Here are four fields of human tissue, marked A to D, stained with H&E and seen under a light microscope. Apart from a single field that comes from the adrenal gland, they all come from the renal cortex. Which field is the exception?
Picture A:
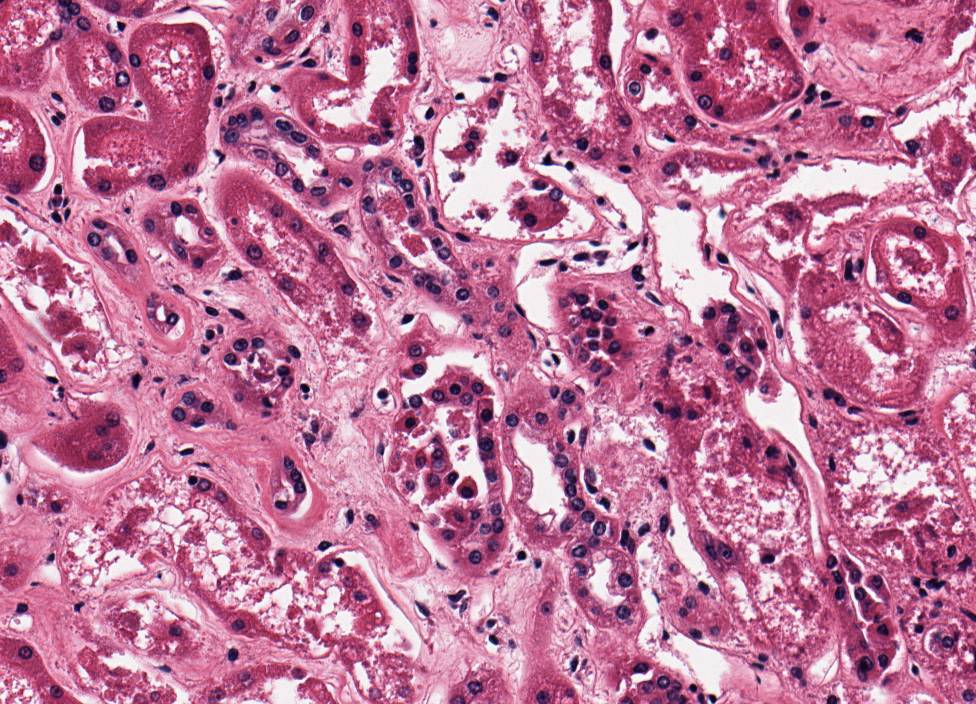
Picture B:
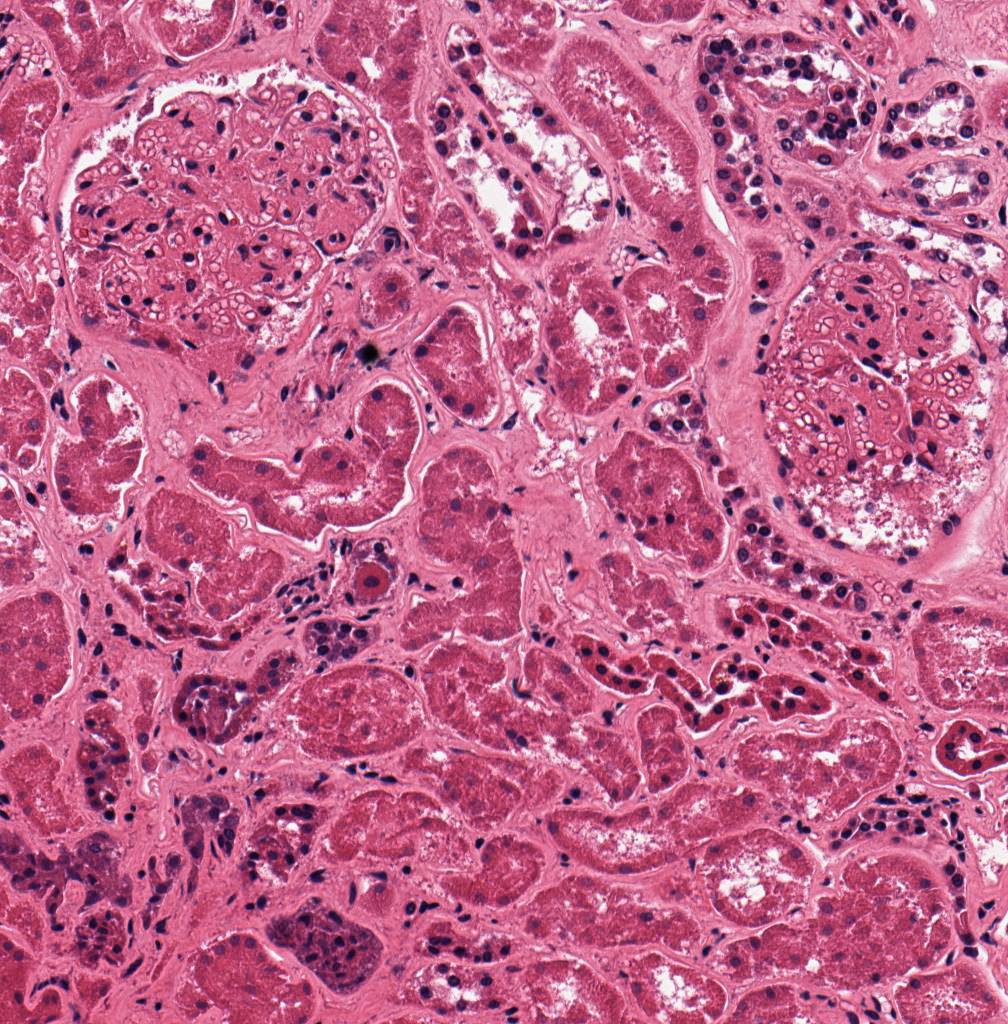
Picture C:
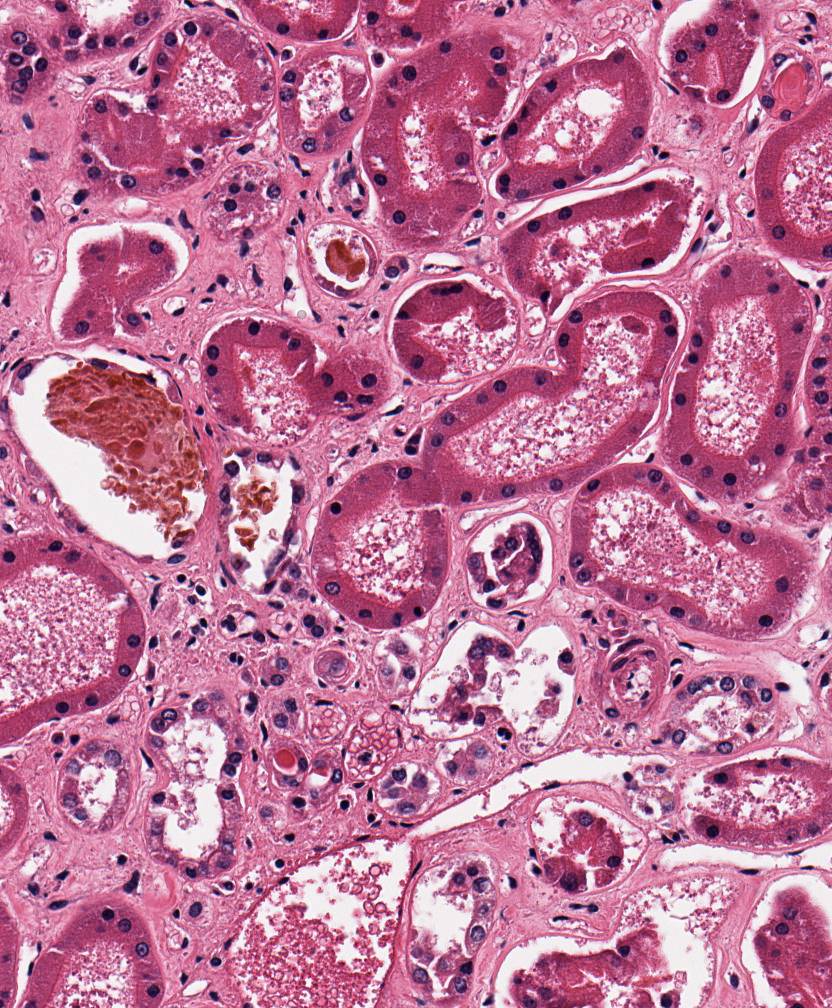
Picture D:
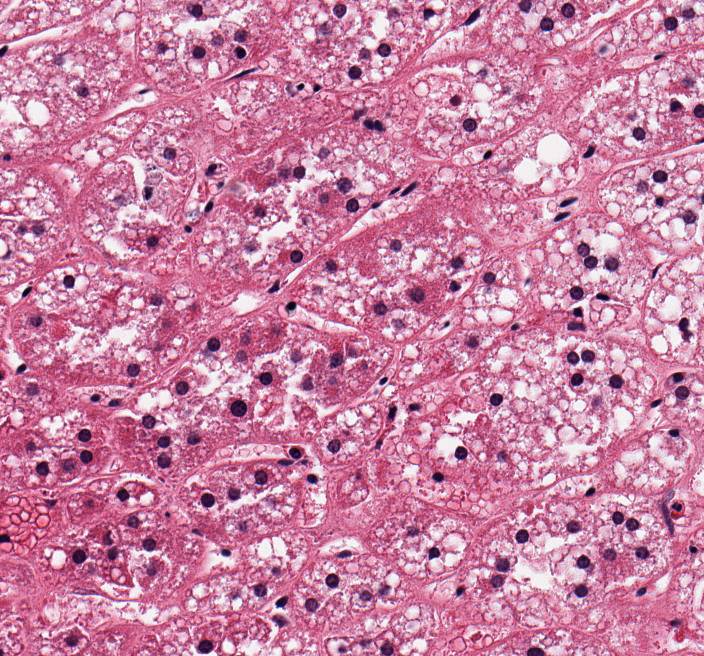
D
